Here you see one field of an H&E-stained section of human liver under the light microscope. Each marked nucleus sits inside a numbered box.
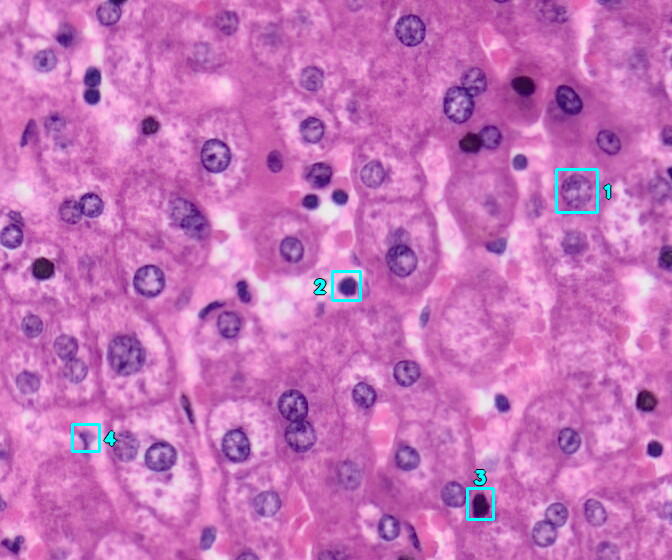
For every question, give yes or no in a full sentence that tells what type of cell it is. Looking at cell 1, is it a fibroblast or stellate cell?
No, that is wrong: cell 1 is a hepatocyte, and not a fibroblast or stellate cell.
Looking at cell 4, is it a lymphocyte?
No, the cell carrying number 4 is an endothelial cell, not a lymphocyte.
